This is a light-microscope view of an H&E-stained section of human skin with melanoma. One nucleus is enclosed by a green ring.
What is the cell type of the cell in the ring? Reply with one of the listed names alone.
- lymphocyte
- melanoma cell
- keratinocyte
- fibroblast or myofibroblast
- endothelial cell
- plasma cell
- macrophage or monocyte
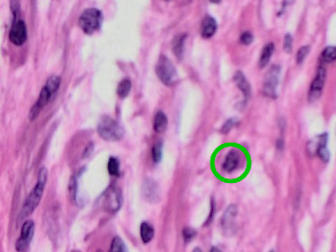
plasma cell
